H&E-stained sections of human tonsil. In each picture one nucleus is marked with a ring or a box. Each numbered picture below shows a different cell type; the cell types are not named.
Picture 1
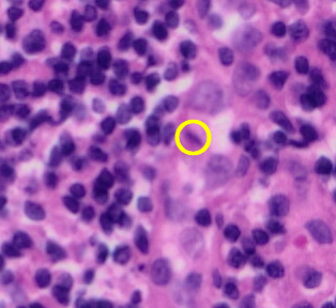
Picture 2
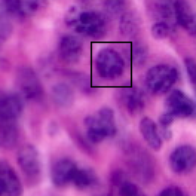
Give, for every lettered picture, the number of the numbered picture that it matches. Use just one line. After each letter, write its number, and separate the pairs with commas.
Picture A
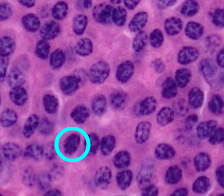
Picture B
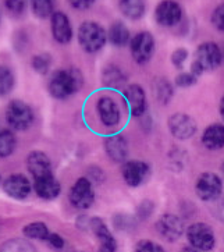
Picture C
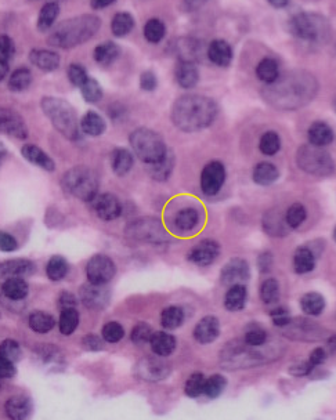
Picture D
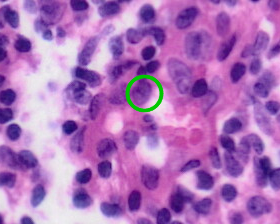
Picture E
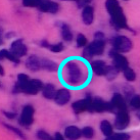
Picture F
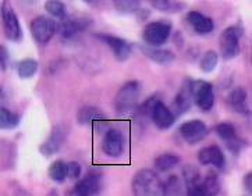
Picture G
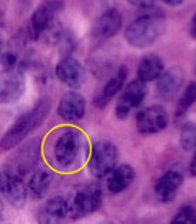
A 2, B 2, C 2, D 1, E 1, F 1, G 2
